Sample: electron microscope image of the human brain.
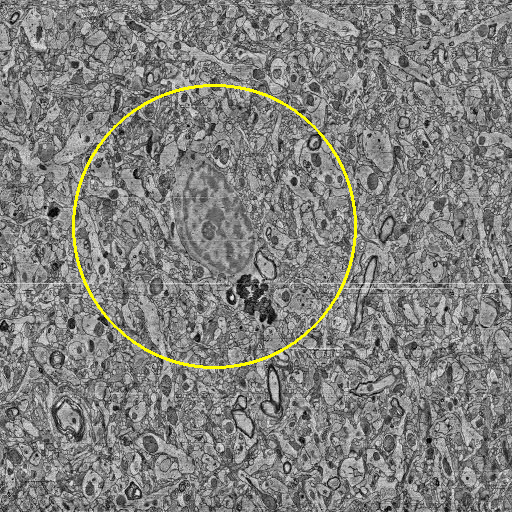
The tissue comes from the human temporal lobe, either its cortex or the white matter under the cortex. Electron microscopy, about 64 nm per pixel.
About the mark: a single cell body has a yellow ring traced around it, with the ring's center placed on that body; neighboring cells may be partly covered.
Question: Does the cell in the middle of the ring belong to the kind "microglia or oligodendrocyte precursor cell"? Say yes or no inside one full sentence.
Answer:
No, the cell at the ring's center in this image belongs to a different kind.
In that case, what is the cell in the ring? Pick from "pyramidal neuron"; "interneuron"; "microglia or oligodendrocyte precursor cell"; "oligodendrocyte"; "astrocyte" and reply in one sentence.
The cell at the middle of the ring is an oligodendrocyte.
